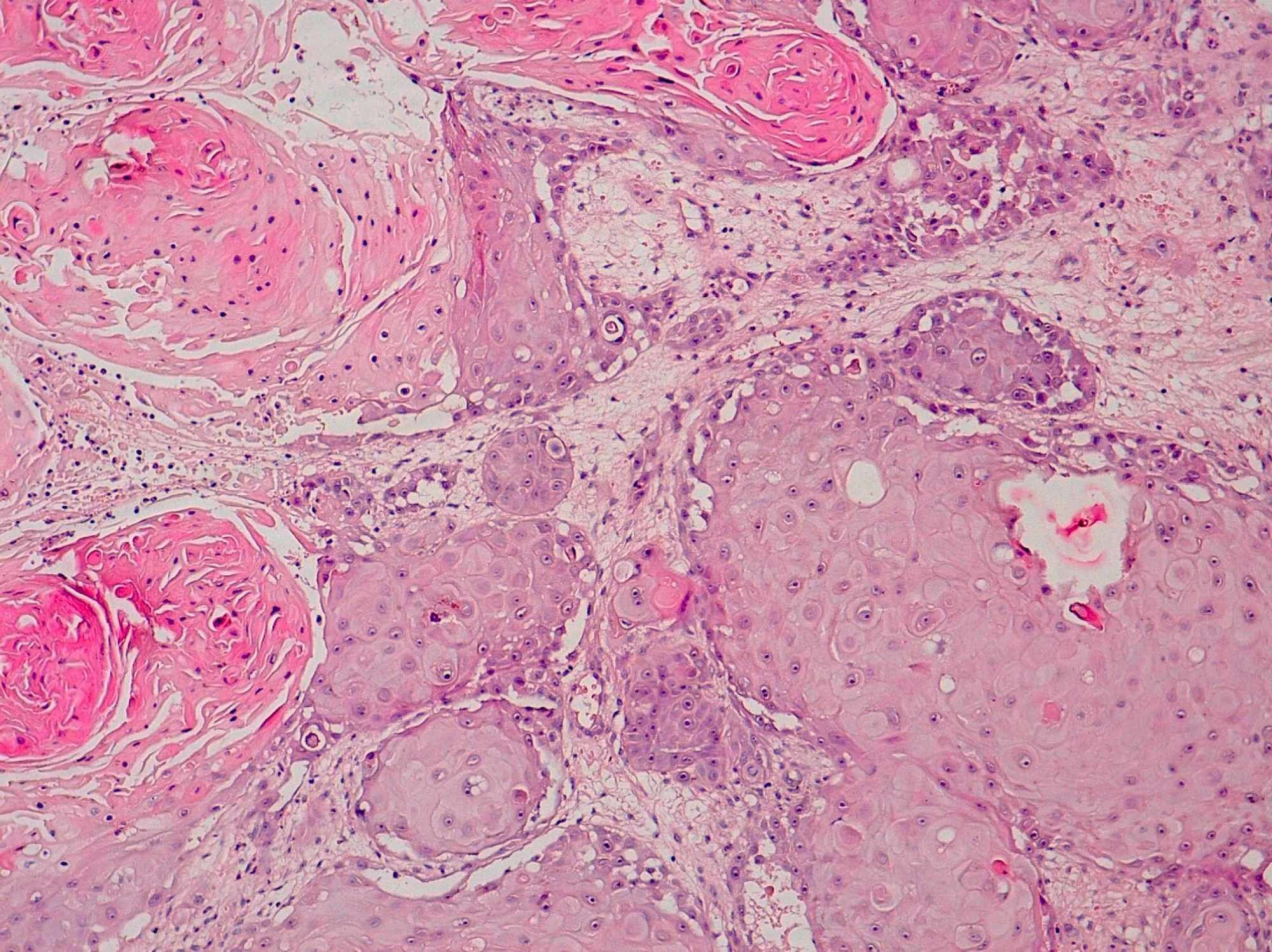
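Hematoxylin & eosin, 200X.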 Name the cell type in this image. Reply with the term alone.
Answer: Eosinophilic large polygonal cells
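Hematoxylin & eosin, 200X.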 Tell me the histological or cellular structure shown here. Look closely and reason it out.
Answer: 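Rounded islands of epithelial cells are separated by strands of pale loose stroma. The islands vary in size and are packed throughout the field. So: carcinomatous nests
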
